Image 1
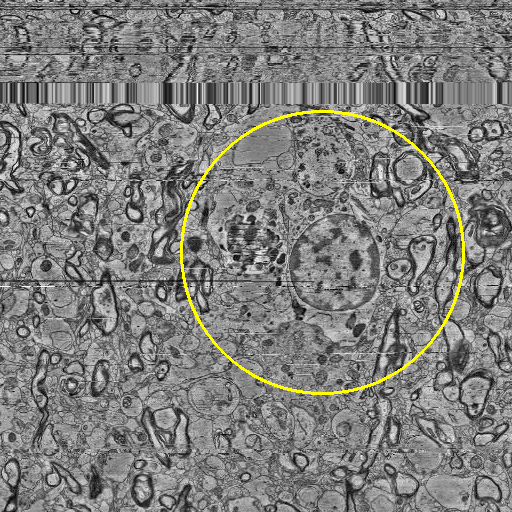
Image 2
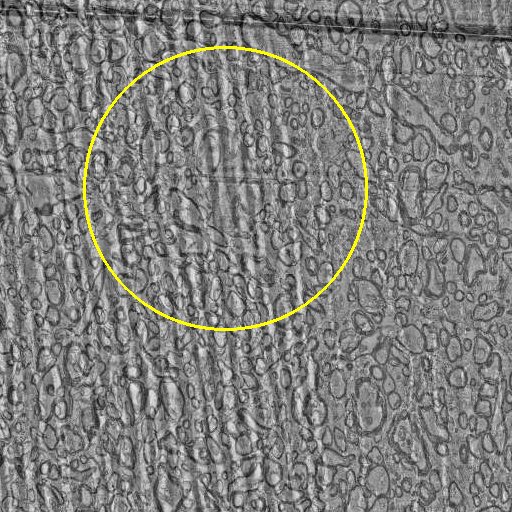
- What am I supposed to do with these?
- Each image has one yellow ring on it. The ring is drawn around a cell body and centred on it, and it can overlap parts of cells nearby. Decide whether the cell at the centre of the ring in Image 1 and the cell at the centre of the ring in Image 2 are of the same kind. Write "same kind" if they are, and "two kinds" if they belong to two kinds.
same kind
